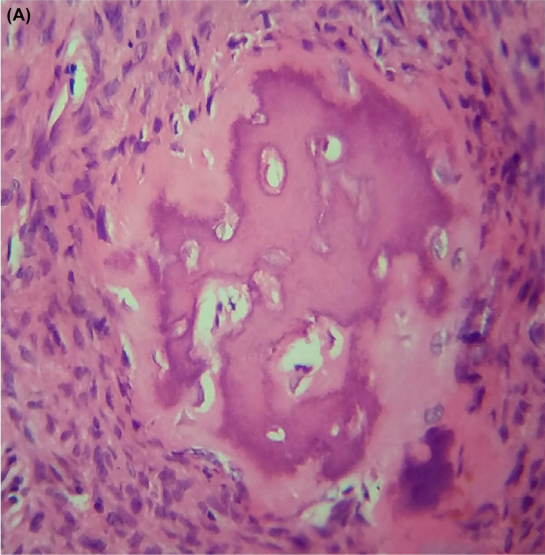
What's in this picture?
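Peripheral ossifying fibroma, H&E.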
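A central irregular island of pink to purple mineralized matrix, with a few cells sitting in clear spaces within it, is ringed by densely packed stromal cells. These surrounding cells are plump, spindle to oval, with large, dark purple, elongated nuclei and ill-defined pink cytoplasm, lying closely against the margin of the island and streaming around it.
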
